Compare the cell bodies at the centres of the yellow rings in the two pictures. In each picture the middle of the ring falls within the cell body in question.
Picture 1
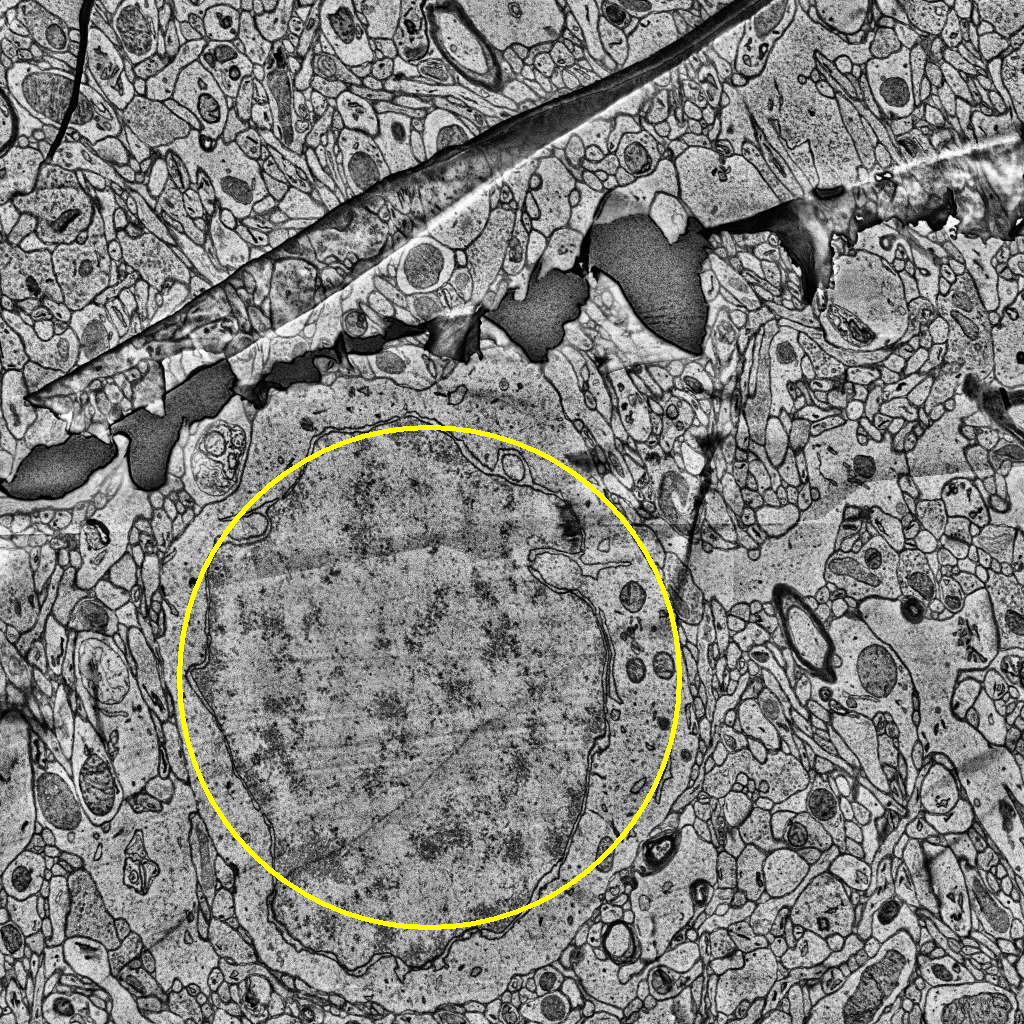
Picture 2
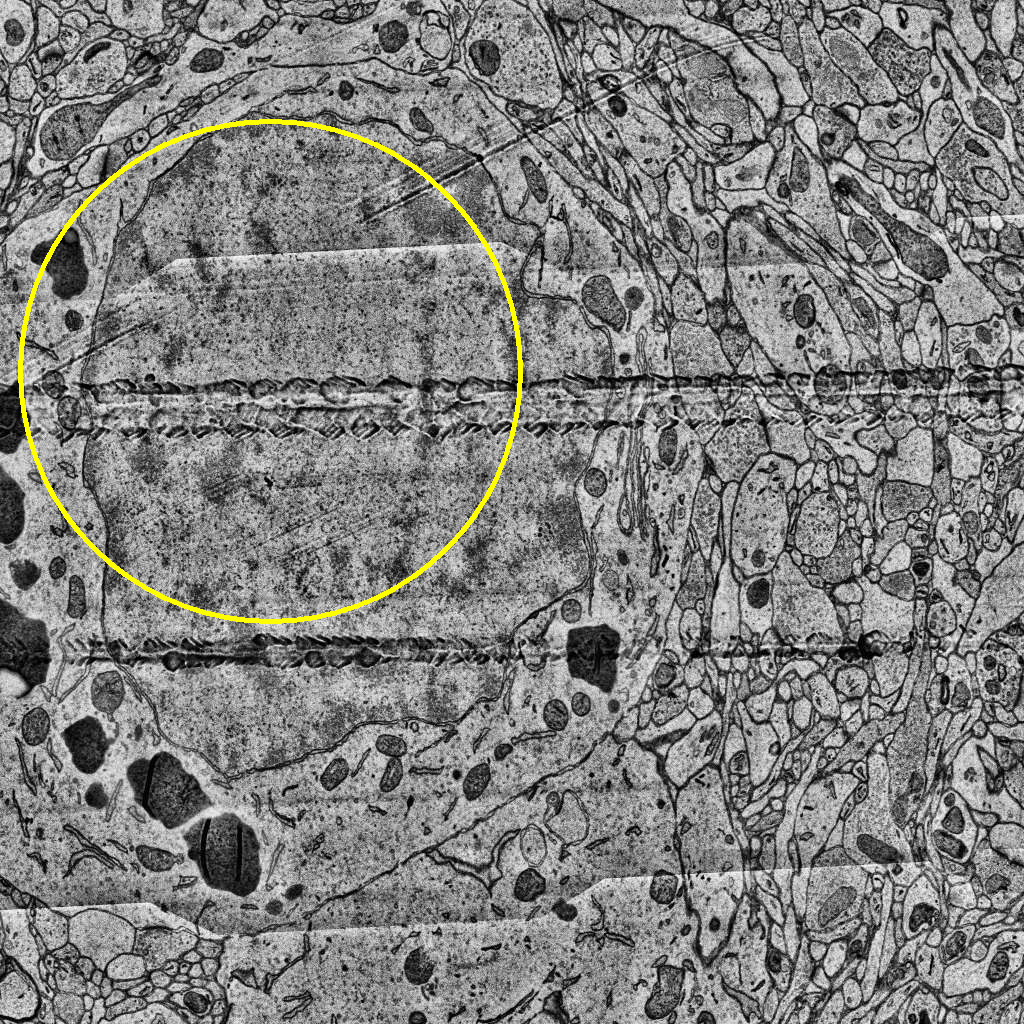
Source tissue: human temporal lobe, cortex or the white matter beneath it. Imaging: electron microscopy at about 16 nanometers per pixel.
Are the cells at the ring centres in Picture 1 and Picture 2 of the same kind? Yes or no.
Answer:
yes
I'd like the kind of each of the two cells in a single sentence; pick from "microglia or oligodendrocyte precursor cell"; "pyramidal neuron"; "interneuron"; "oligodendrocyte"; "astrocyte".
The ring centre holds an interneuron in each of the two pictures.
